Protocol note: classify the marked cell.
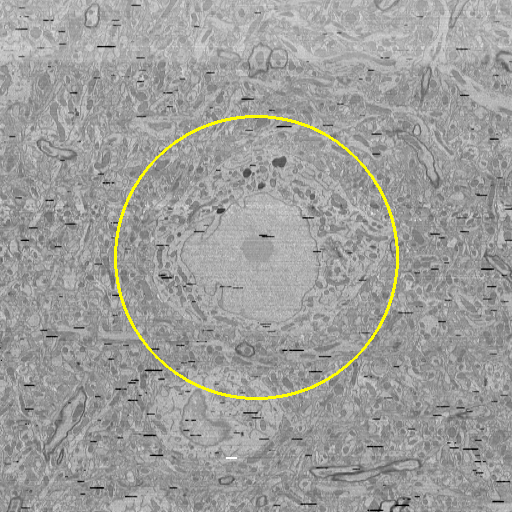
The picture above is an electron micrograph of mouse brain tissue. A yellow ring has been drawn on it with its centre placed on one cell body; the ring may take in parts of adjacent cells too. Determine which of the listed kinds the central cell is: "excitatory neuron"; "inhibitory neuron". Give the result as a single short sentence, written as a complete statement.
The central cell is an inhibitory neuron.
